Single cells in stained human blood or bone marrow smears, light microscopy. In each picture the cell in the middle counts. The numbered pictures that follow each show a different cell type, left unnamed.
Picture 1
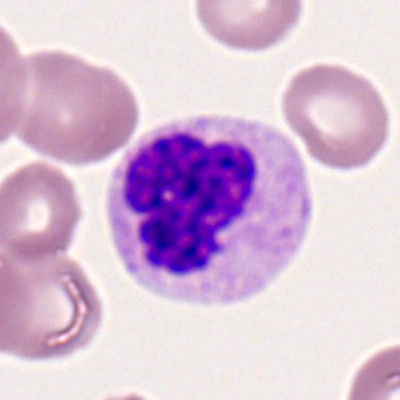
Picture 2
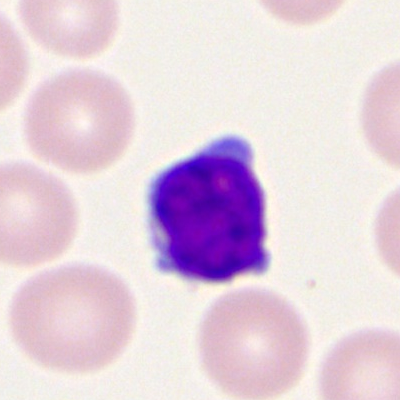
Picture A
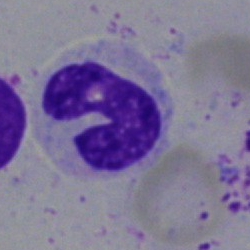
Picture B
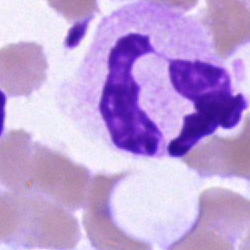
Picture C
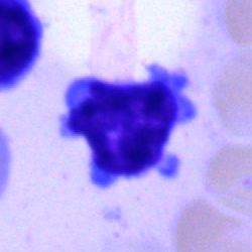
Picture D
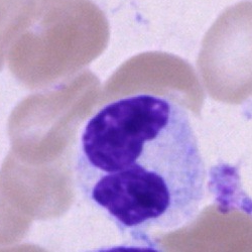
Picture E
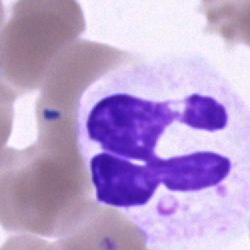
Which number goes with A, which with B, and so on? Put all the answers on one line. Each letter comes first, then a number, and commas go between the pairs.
A 1, B 1, C 2, D 1, E 1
